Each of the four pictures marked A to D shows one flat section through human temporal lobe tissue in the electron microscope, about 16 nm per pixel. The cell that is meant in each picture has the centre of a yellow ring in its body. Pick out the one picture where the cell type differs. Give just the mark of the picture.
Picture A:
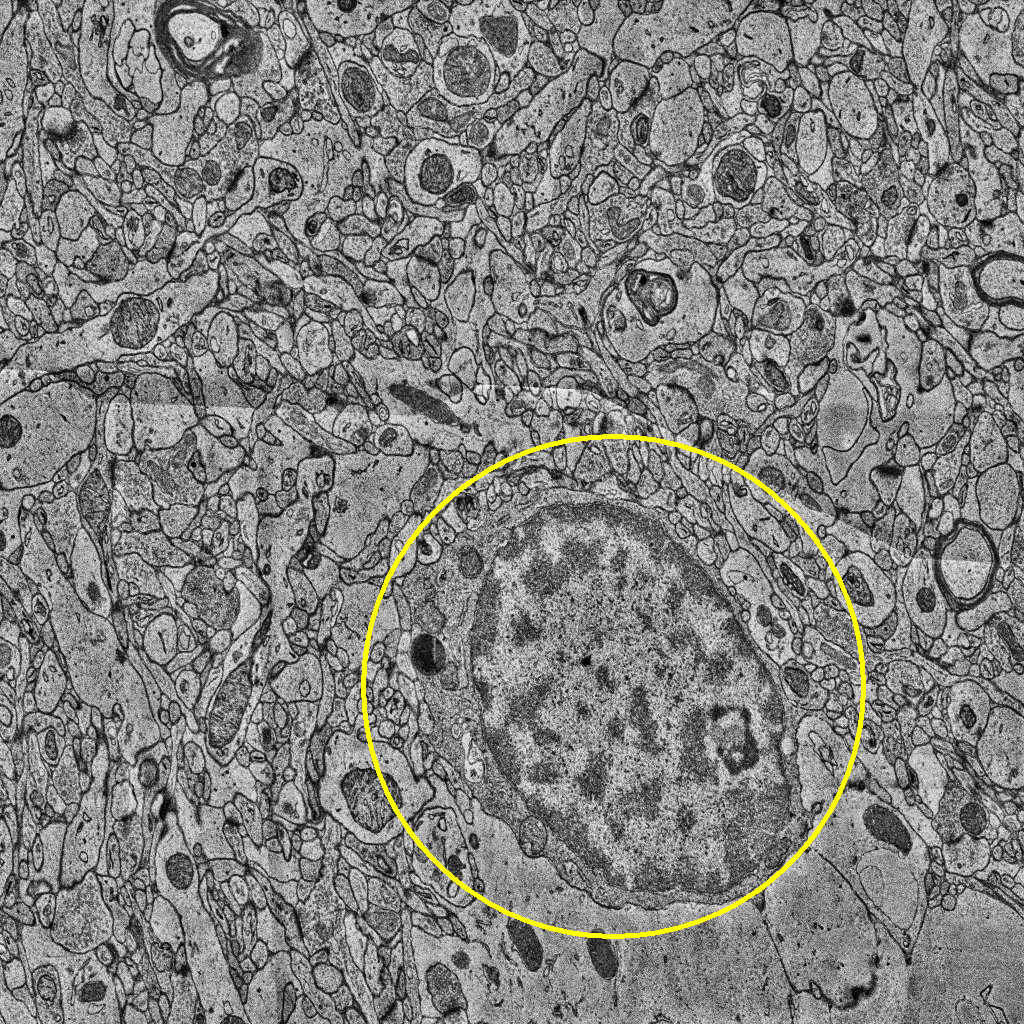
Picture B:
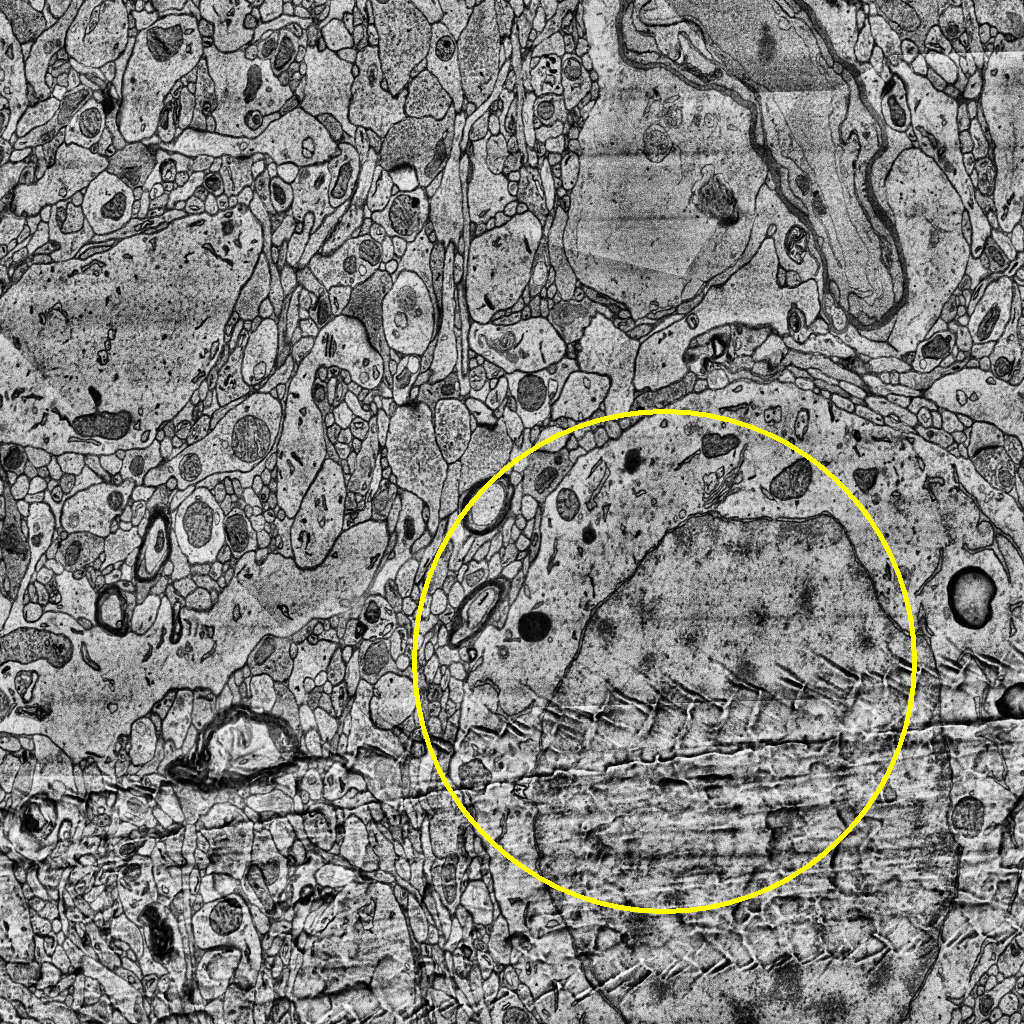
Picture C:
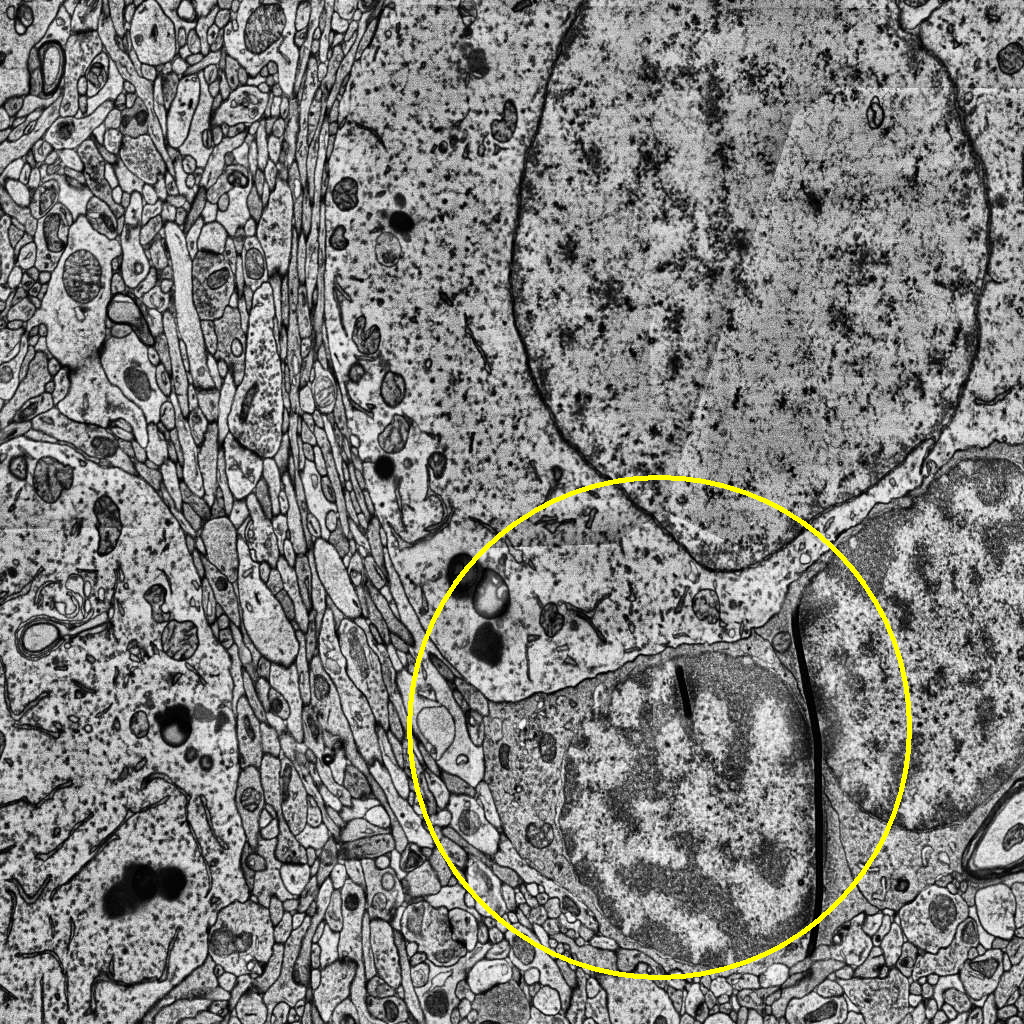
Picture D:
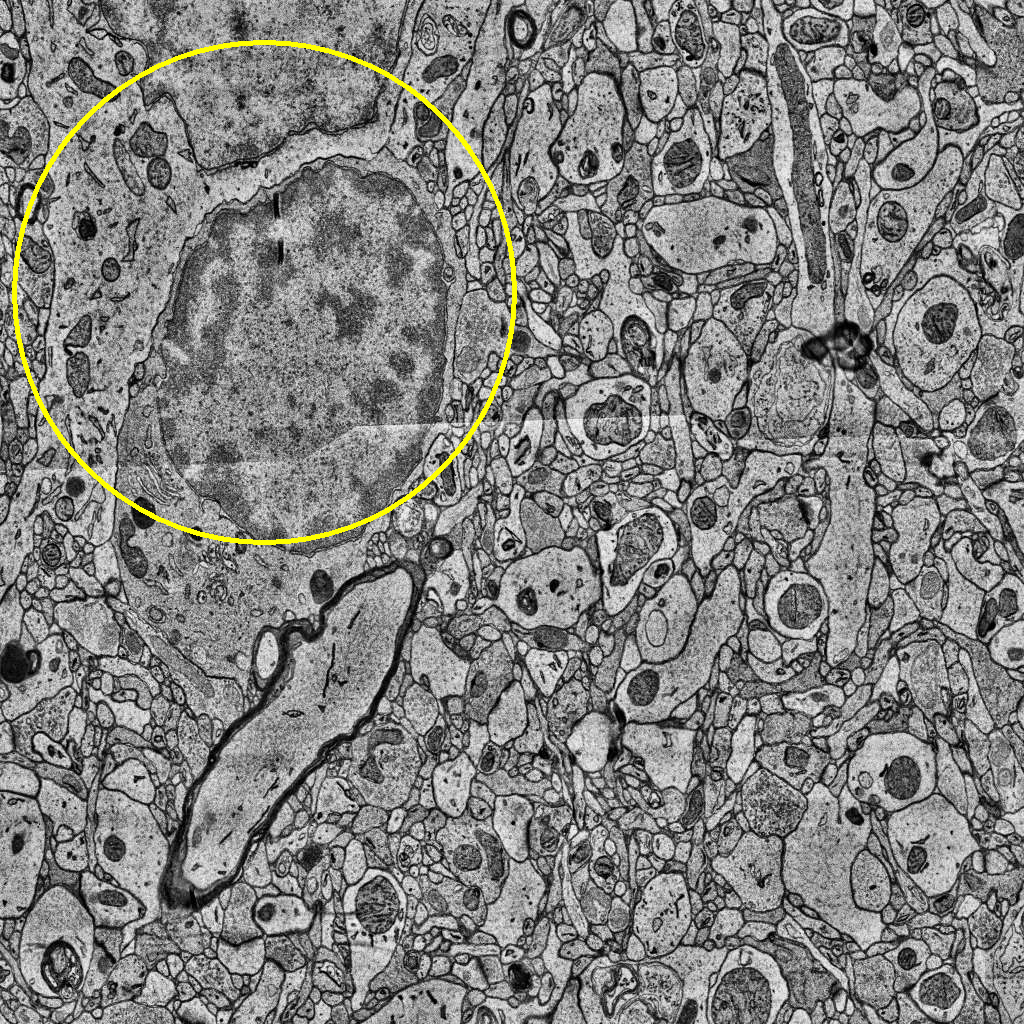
B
